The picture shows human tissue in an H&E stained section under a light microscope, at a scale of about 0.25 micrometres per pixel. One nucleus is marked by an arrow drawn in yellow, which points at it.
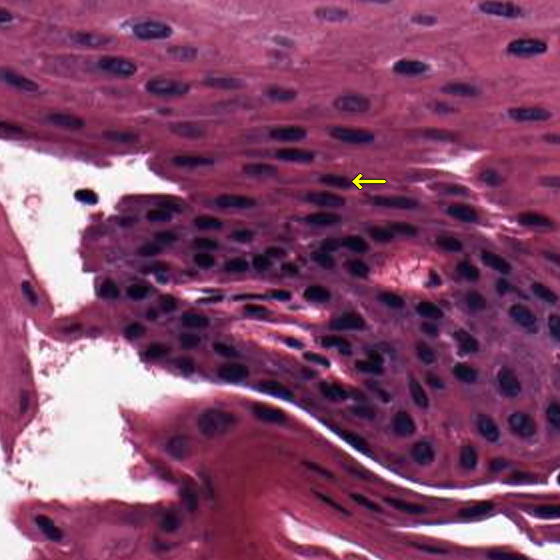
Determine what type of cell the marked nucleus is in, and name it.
squamous epithelial cell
